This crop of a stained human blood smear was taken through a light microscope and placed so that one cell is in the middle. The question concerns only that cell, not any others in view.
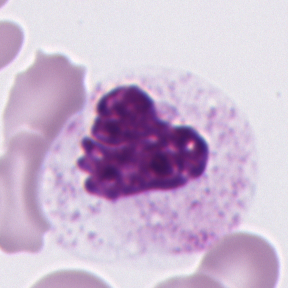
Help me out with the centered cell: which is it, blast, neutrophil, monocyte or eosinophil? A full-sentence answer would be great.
Positioned in the middle of the crop is a neutrophil.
